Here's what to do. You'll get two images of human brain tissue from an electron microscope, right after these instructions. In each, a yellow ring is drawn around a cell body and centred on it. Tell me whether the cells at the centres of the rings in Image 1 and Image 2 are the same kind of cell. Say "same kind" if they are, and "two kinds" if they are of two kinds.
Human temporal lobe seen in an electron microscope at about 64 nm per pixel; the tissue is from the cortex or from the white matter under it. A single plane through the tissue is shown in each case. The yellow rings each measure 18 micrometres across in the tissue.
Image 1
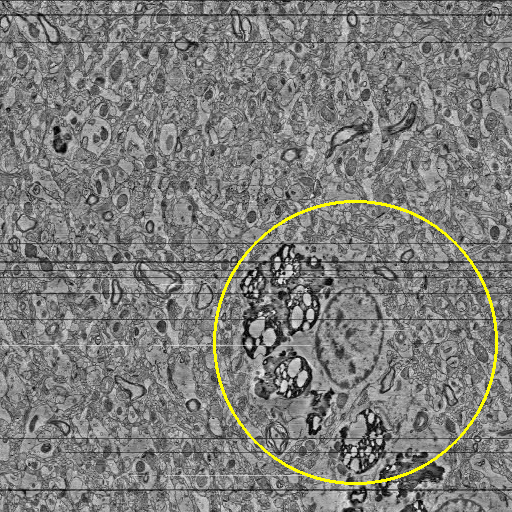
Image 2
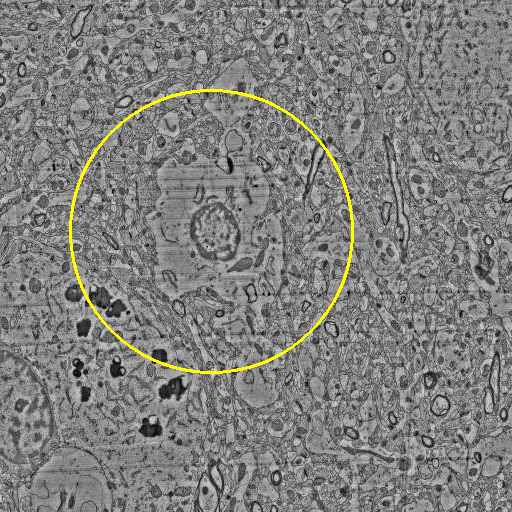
same kind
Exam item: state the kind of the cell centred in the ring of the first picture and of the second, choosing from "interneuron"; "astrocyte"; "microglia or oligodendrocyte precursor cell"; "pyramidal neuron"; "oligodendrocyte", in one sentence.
In each of the two pictures, the ringed cell is an astrocyte.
